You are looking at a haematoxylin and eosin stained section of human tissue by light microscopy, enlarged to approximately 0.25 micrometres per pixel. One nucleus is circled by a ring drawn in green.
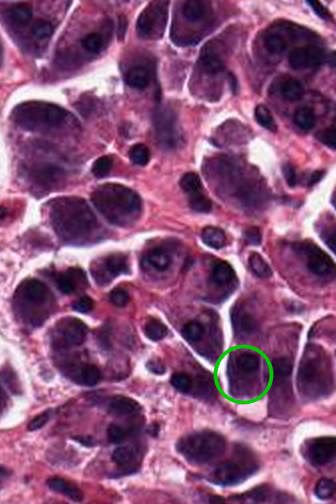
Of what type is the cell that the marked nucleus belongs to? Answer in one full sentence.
On this slide, the marked nucleus belongs to a pancreatic acinar cell.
